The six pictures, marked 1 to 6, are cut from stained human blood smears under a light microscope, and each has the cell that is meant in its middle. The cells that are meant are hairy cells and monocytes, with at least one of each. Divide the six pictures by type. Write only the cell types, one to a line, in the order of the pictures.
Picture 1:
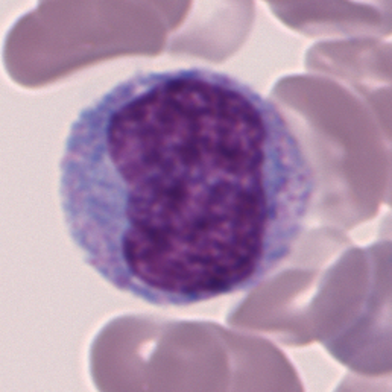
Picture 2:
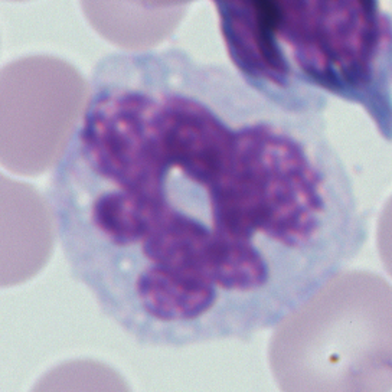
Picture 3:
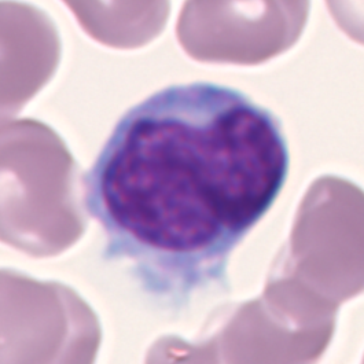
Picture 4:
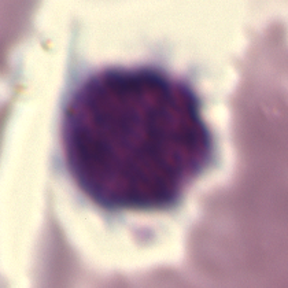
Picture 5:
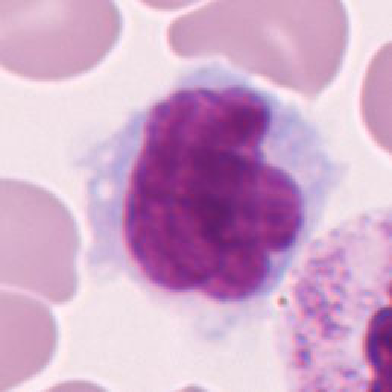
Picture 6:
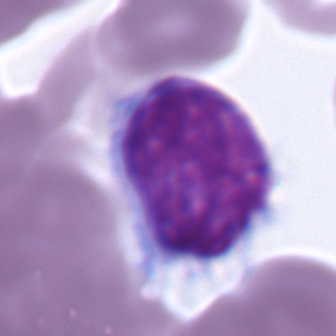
monocyte
monocyte
monocyte
hairy cell
hairy cell
hairy cell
